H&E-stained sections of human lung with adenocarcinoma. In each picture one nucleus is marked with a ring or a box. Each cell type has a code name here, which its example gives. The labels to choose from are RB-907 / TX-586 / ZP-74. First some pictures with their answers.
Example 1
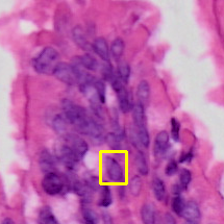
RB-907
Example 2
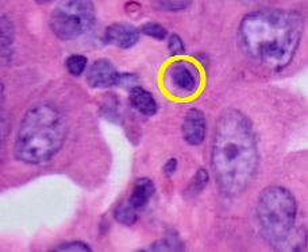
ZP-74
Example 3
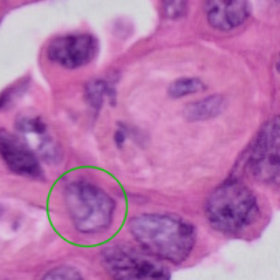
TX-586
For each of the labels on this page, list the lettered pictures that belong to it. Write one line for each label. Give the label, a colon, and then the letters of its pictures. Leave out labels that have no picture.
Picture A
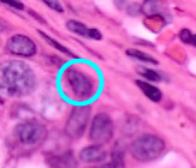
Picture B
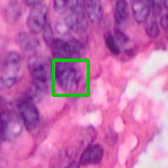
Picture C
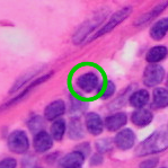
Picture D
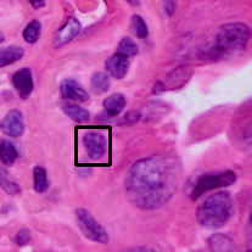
RB-907: A, B
ZP-74: C, D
